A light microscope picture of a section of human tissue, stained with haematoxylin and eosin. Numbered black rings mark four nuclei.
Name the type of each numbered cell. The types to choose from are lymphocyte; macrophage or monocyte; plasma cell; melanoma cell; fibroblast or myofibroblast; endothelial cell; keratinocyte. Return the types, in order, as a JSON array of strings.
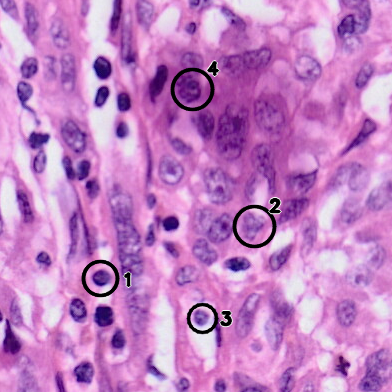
["lymphocyte", "melanoma cell", "lymphocyte", "melanoma cell"]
